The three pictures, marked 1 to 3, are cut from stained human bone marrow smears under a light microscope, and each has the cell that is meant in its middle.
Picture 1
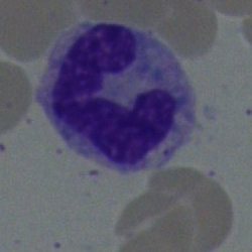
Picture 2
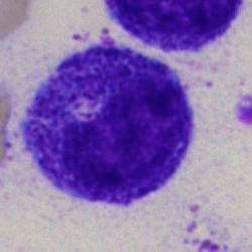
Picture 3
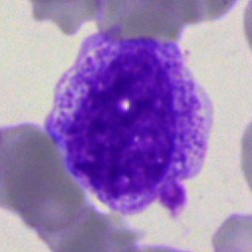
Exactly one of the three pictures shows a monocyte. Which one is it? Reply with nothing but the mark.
1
